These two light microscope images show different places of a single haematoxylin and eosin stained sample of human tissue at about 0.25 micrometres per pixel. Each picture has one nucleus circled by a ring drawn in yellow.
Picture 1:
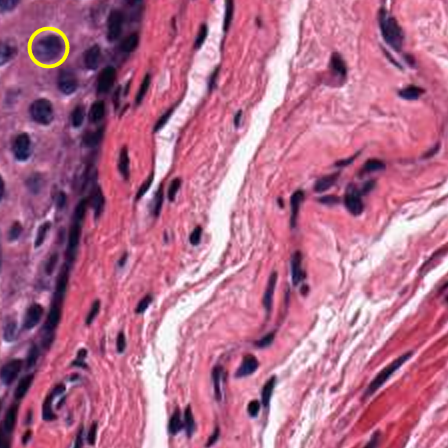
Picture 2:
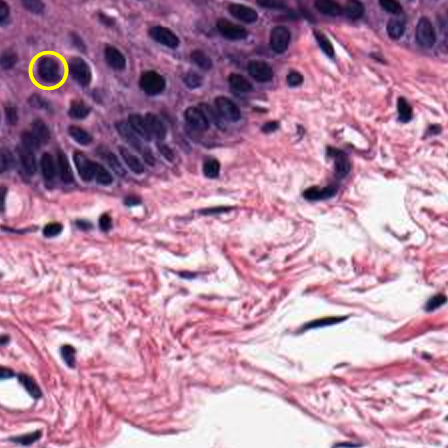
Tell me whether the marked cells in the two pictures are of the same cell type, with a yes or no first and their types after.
Yes, both are squamous epithelial cells.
